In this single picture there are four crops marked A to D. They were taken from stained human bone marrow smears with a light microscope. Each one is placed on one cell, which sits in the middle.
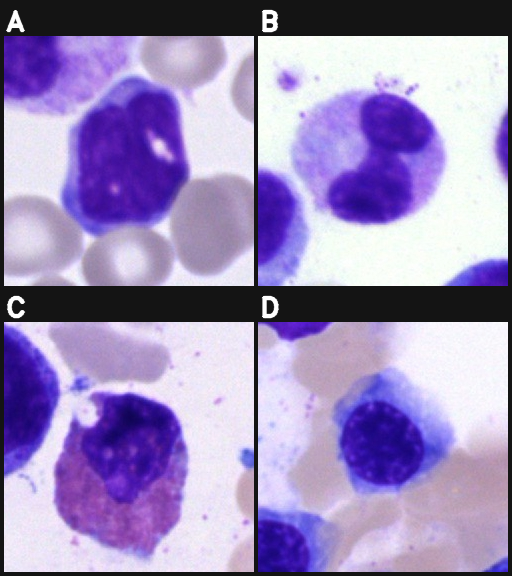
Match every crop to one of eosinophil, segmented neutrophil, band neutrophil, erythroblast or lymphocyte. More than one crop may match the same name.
A: lymphocyte
B: band neutrophil
C: eosinophil
D: erythroblast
